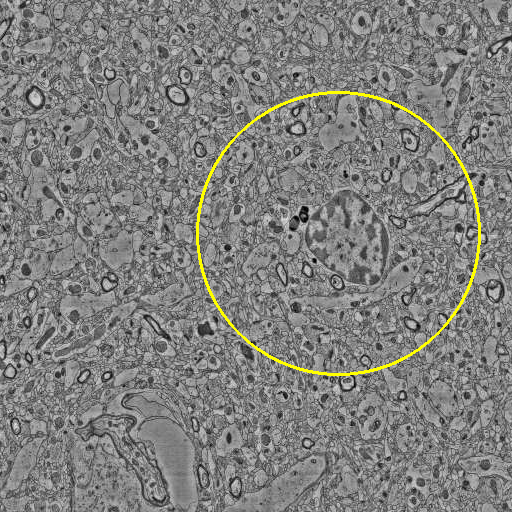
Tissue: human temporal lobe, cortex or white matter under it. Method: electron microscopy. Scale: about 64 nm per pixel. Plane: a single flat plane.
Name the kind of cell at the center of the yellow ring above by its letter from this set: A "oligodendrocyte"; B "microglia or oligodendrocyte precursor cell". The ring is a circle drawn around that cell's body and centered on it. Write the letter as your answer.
B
